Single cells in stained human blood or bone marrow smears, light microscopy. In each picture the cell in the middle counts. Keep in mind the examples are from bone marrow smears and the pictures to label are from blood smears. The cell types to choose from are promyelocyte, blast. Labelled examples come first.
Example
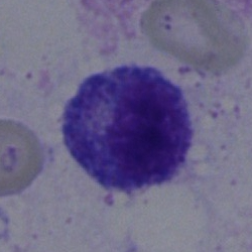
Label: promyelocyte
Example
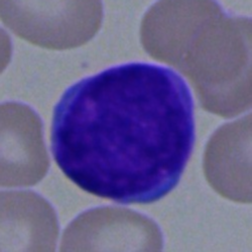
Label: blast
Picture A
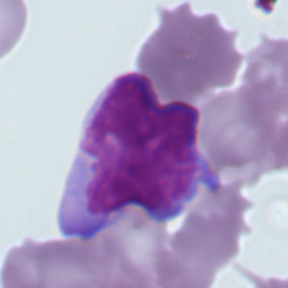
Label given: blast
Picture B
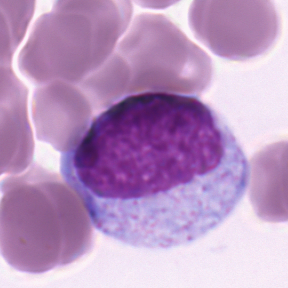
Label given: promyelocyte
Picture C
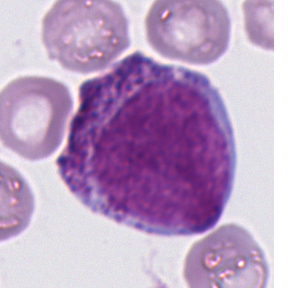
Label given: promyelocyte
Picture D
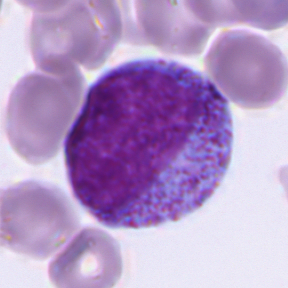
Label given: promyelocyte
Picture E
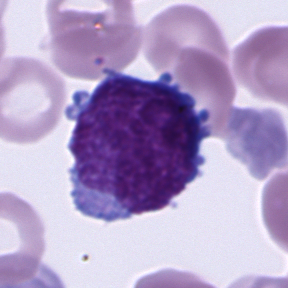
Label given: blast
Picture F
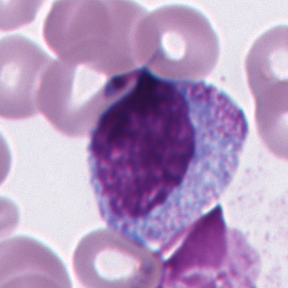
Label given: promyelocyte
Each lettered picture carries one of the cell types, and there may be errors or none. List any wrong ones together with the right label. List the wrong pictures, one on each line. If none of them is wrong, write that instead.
Every label is right.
